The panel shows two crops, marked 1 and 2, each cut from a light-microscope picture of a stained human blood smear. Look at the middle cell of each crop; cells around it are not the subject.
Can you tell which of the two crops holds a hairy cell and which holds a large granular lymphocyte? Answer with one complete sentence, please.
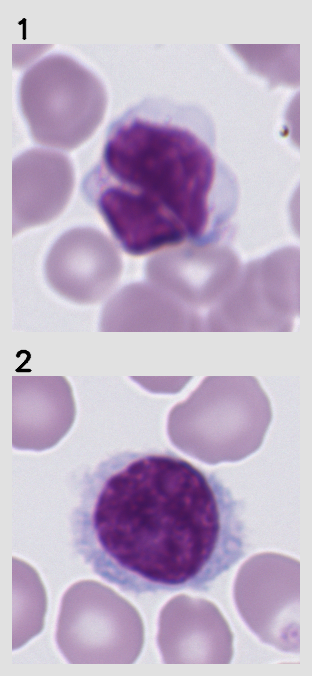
At the centre of crop 1 lies a large granular lymphocyte, and at the centre of crop 2 lies a hairy cell.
